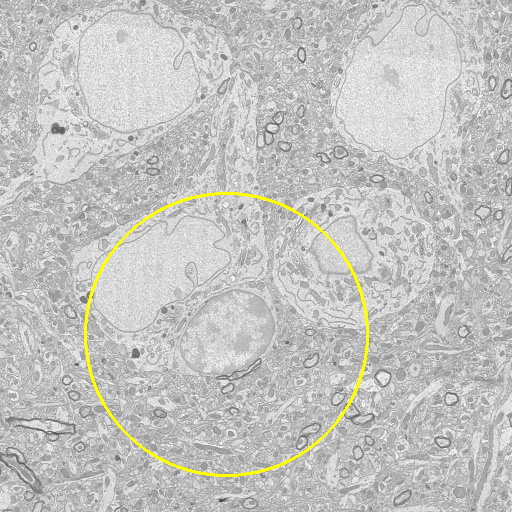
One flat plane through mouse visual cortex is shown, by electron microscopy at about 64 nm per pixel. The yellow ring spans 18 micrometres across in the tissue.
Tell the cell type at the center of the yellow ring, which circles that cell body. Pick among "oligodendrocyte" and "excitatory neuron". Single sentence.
The ring is centered on the body of an oligodendrocyte.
